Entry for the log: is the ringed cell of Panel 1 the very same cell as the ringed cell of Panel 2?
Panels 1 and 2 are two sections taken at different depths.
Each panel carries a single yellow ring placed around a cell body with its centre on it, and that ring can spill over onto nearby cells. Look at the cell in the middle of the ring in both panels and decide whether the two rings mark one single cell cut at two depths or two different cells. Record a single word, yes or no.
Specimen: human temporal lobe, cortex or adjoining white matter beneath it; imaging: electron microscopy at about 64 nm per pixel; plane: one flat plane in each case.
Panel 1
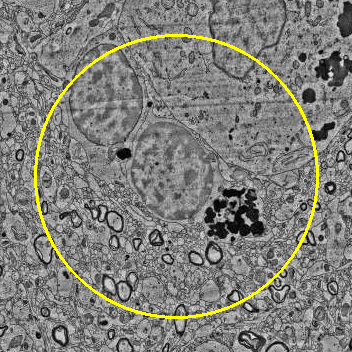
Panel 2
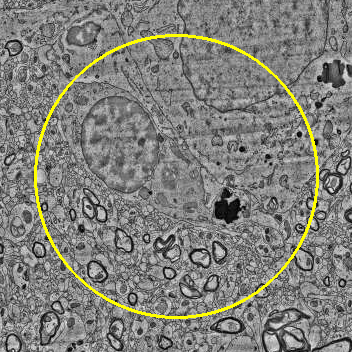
yes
